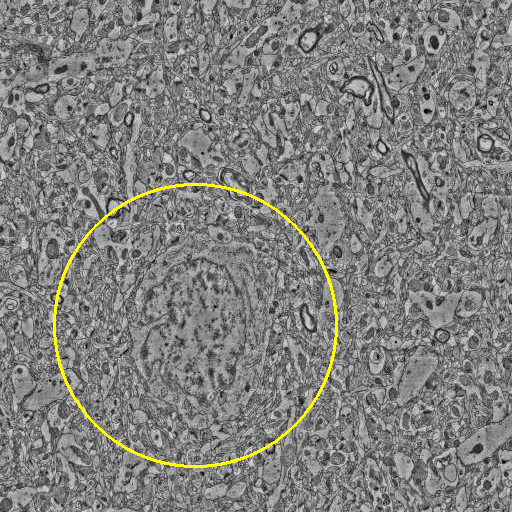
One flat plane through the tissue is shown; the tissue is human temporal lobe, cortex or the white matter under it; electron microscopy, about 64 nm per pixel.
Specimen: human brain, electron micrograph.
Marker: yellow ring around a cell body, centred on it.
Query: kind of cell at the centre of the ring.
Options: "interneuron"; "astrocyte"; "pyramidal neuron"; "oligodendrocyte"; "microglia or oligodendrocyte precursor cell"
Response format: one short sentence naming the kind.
This cell body belongs to an interneuron.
